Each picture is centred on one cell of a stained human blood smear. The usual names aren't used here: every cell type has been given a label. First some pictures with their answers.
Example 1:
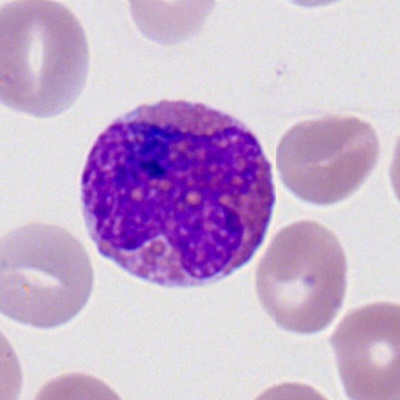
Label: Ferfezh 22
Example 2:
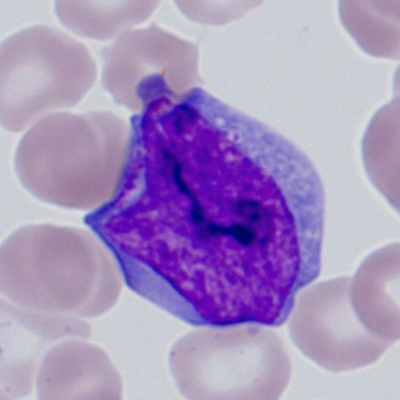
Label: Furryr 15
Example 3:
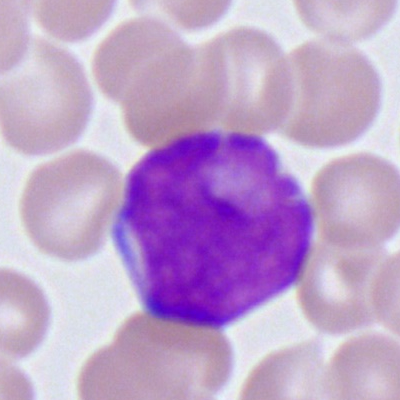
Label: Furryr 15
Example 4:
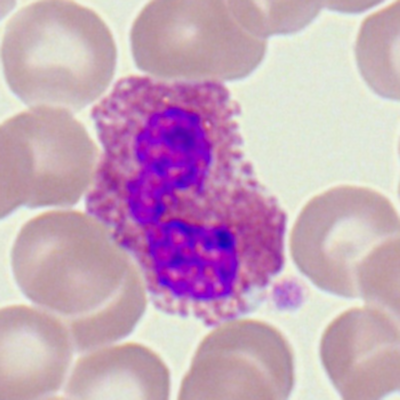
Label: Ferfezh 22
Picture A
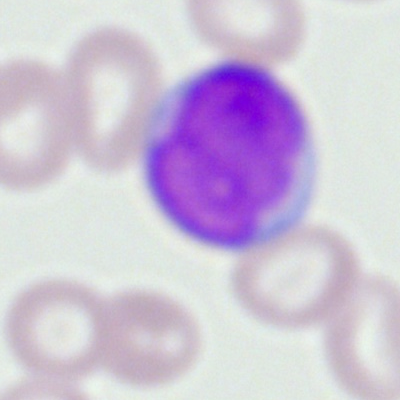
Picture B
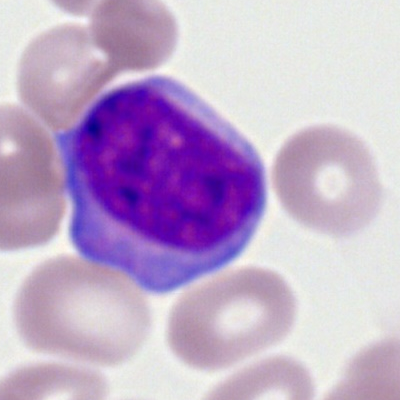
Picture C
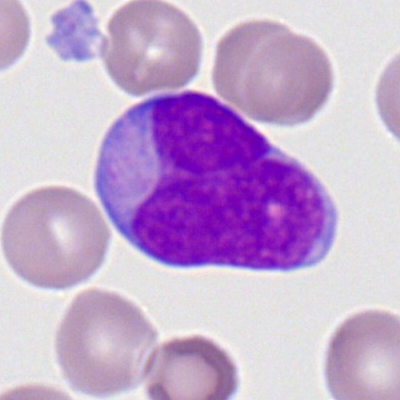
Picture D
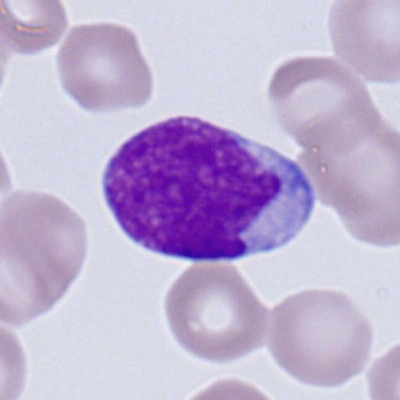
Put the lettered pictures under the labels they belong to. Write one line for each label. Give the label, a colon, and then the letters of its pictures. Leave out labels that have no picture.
Furryr 15: A, B, C, D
